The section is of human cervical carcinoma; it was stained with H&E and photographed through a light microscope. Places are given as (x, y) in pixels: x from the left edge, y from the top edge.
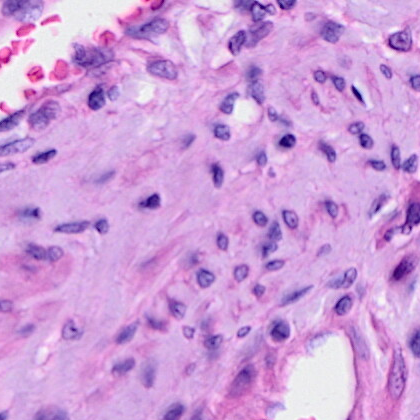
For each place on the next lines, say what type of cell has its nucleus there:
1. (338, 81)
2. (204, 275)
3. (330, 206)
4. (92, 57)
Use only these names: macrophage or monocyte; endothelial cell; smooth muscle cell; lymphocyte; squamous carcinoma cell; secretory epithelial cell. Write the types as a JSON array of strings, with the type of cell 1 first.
["smooth muscle cell", "smooth muscle cell", "smooth muscle cell", "endothelial cell"]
